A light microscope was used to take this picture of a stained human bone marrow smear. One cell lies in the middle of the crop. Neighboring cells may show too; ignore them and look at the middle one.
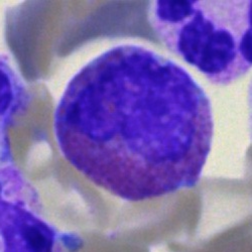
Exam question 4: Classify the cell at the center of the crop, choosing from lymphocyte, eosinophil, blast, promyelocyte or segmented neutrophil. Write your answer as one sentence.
In short, the cell at the center is an eosinophil.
